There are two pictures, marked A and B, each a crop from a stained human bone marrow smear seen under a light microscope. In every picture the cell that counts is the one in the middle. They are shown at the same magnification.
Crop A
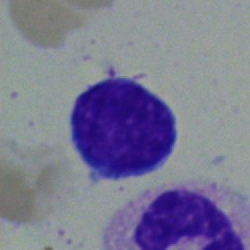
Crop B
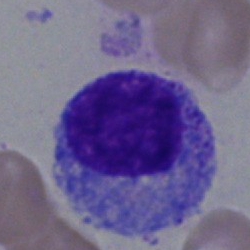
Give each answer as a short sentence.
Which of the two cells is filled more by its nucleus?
It is the cell in crop A that is filled more by its nucleus.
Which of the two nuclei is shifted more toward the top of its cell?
In crop B the nucleus is shifted more toward the top.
